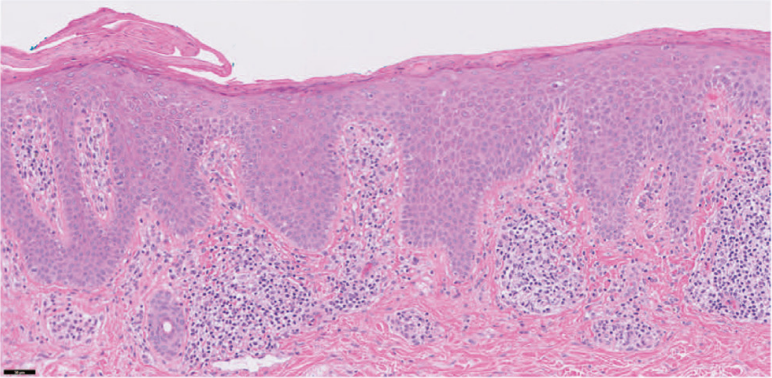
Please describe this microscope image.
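This is skin with a markedly thickened epidermis whose rete ridges are long and reach down into the dermis, covered by a thin pink cornified layer. Between the ridges the dermal papillae and upper dermis are crowded with small dark round nuclei of lymphocytes gathered around small vessels. Together this reads as an acanthotic epidermis over a perivascular lymphocytic infiltrate.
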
